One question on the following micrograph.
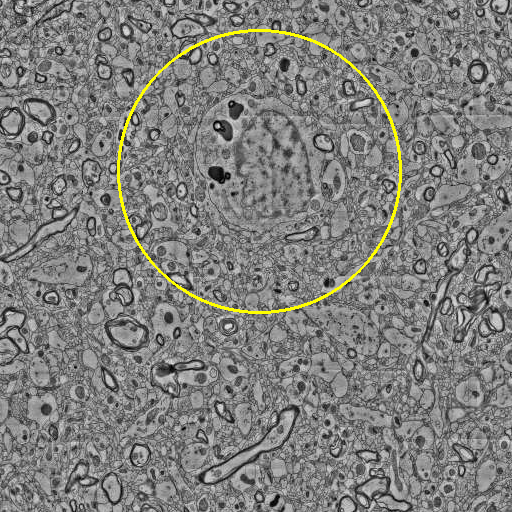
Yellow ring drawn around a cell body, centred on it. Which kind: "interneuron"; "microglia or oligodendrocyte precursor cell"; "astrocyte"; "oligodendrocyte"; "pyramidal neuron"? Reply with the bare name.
interneuron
